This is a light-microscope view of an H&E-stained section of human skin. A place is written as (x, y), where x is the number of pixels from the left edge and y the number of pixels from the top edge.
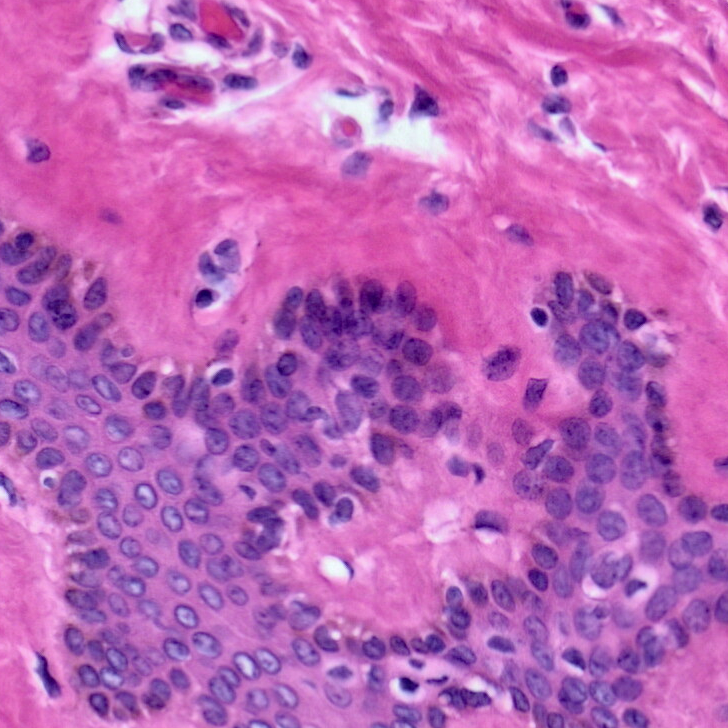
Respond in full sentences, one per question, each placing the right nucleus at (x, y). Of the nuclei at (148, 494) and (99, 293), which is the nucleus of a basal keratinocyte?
Answering which nucleus it is: the one at (99, 293), belonging to a basal keratinocyte.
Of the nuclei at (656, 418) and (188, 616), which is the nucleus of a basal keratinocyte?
Of the two nuclei present, the one at (656, 418) is within a basal keratinocyte.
